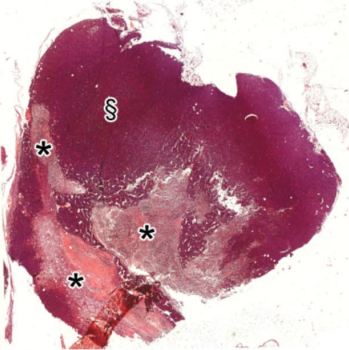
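A whole cross-section of a tumor at low power, most of it a dense, uniformly deep purple mass that looks compact and solid. Along one side and toward the centre lie large irregular pale pink zones with washed-out texture and scattered gaps, sharply set against the dark tissue, and one region is bright red, suggesting blood. The pale zones are necrotic regions of the tumor, where viable densely packed tumor tissue has died, while the remaining tumor mass stays compact and intact.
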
